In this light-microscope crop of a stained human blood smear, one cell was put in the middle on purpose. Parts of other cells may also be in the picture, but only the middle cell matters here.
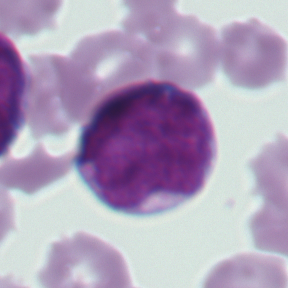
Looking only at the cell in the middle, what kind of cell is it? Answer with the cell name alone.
blast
